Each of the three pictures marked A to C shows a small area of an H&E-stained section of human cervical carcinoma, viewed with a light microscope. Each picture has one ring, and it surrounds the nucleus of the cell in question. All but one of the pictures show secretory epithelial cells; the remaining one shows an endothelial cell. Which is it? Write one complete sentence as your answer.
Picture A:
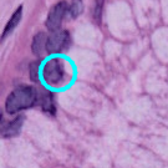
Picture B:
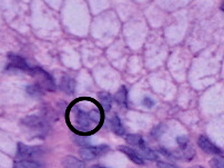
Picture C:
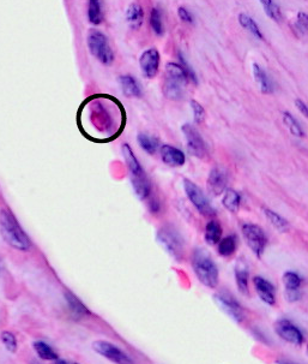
Picture C shows the endothelial cell.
